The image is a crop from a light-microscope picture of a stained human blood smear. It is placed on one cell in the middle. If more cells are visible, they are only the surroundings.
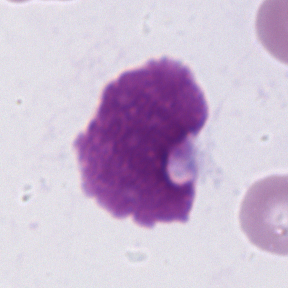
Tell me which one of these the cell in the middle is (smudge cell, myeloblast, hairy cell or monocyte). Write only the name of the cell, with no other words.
smudge cell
